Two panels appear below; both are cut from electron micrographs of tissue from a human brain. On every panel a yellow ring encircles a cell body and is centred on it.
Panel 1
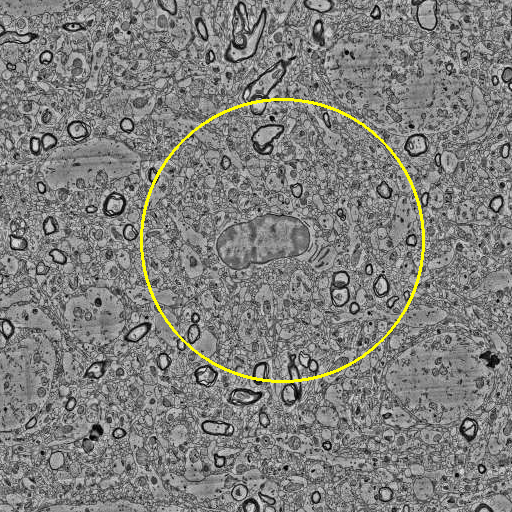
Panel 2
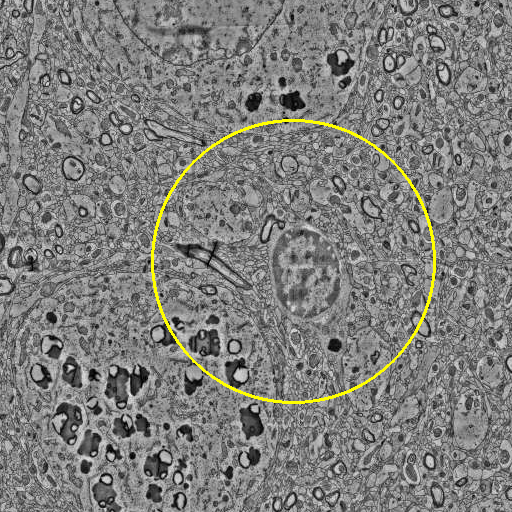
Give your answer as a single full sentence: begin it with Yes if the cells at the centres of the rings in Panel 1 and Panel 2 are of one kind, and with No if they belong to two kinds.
No, the cells in the middle of the rings in Panels 1 and 2 are of two kinds.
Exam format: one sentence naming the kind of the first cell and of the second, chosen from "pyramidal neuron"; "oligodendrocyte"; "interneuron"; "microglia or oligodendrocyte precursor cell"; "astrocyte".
The first picture's cell is a microglial cell or oligodendrocyte precursor cell, and the second picture's cell is an oligodendrocyte.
